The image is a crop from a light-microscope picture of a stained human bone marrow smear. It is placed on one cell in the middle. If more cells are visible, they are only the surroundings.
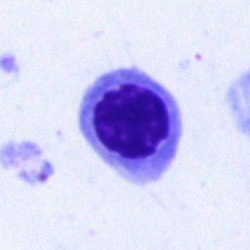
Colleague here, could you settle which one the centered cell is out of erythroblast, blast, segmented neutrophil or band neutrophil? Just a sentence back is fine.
The center cell of this crop is an erythroblast.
